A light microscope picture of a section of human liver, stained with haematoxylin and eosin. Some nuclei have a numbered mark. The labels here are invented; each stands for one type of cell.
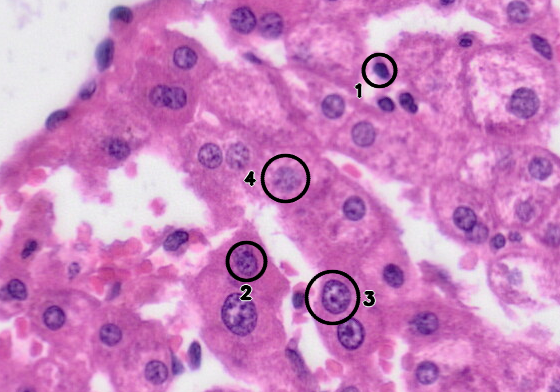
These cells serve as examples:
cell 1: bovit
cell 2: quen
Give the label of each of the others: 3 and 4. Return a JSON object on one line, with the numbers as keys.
{"3": "quen", "4": "quen"}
